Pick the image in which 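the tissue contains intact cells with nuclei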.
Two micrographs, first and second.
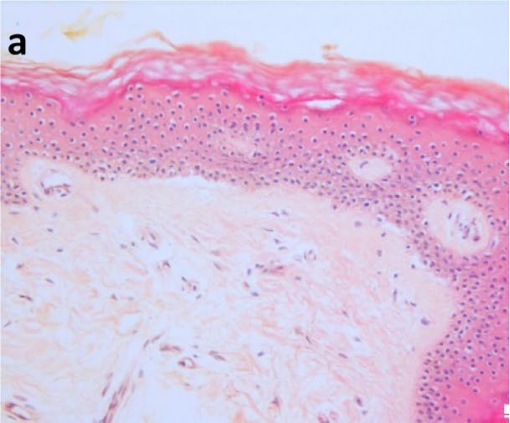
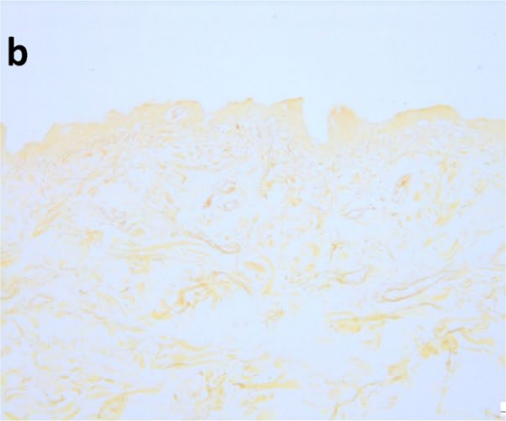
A: the first image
